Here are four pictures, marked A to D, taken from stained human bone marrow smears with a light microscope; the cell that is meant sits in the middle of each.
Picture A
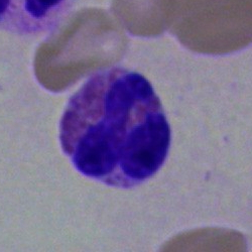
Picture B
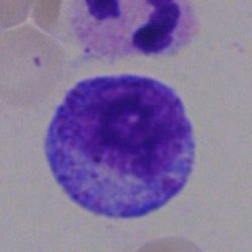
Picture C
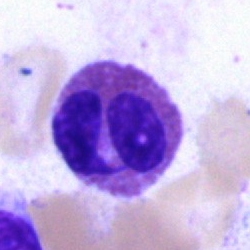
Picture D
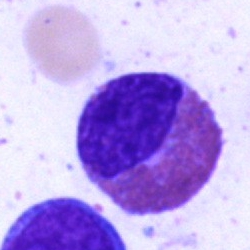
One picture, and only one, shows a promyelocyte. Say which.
B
